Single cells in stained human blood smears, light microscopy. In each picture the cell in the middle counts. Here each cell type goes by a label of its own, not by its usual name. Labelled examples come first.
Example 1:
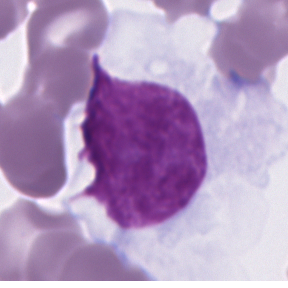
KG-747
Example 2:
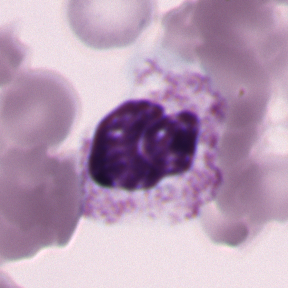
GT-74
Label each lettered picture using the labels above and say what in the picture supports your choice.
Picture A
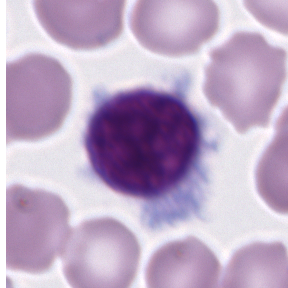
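KG-747. Reason: The cytoplasm is a scant rim of pale blue.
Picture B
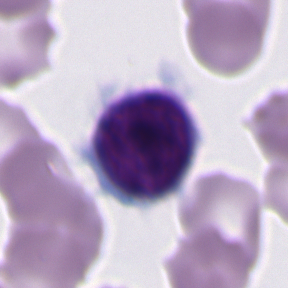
KG-747. Reason: The cytoplasm is a scant pale blue rim, widest along the lower left edge.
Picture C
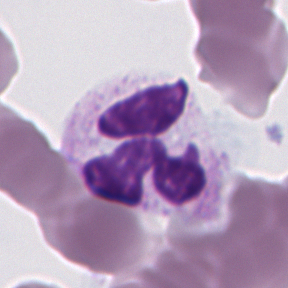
GT-74. Reason: The nucleus is divided into three separate lobes.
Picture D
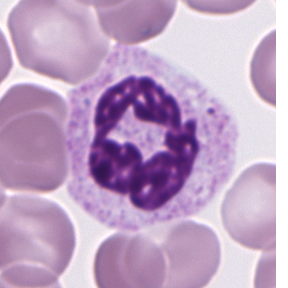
GT-74. Reason: A broad rim of pale pinkish-lilac cytoplasm surrounds the nucleus.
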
